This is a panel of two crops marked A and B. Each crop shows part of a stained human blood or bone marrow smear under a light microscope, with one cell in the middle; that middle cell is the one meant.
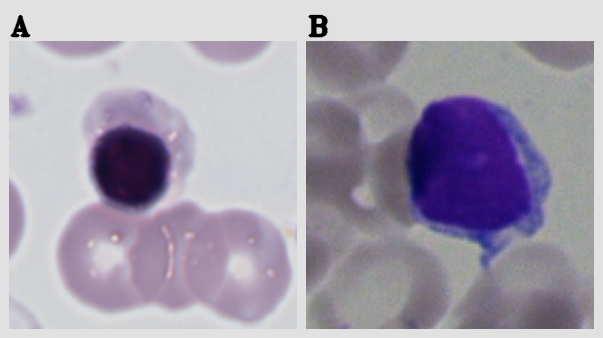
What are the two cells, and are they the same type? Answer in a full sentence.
No, the cell of interest in crop A is an erythroblast, and in crop B it is a lymphocyte.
